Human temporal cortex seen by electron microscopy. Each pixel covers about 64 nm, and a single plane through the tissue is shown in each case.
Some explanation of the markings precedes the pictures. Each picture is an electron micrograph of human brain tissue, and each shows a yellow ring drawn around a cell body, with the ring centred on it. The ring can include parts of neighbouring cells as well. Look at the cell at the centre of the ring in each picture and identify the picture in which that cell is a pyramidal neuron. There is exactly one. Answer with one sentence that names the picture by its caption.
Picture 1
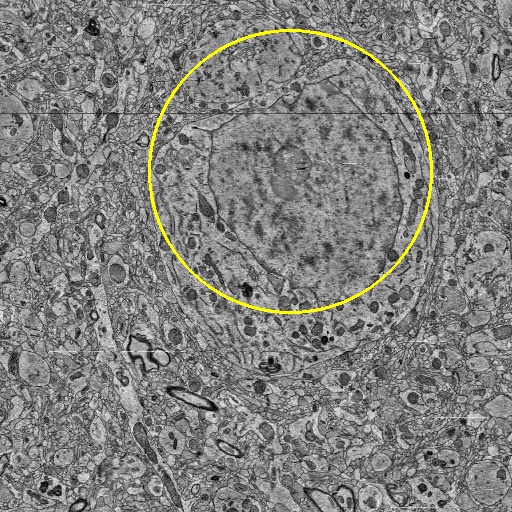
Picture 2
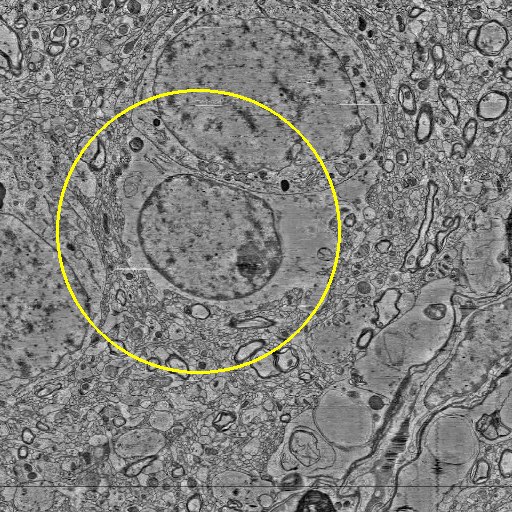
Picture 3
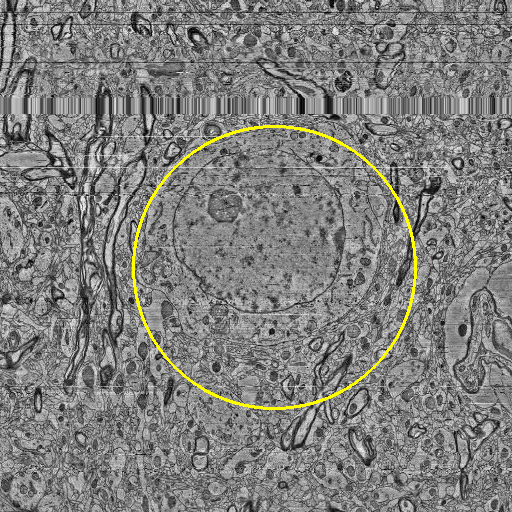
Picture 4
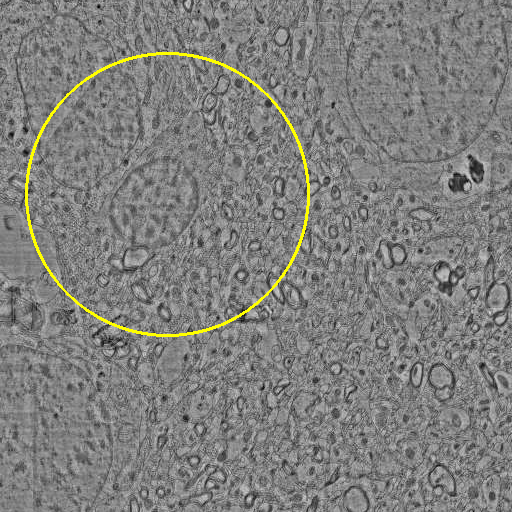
In Picture 3, the cell at the centre of the ring is of that kind.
